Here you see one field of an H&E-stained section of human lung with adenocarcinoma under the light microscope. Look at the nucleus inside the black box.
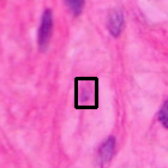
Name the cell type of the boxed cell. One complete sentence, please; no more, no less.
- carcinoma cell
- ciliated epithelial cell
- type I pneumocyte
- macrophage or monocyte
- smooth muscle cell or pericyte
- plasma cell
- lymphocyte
It is as a smooth muscle cell or pericyte that the boxed cell is classified.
